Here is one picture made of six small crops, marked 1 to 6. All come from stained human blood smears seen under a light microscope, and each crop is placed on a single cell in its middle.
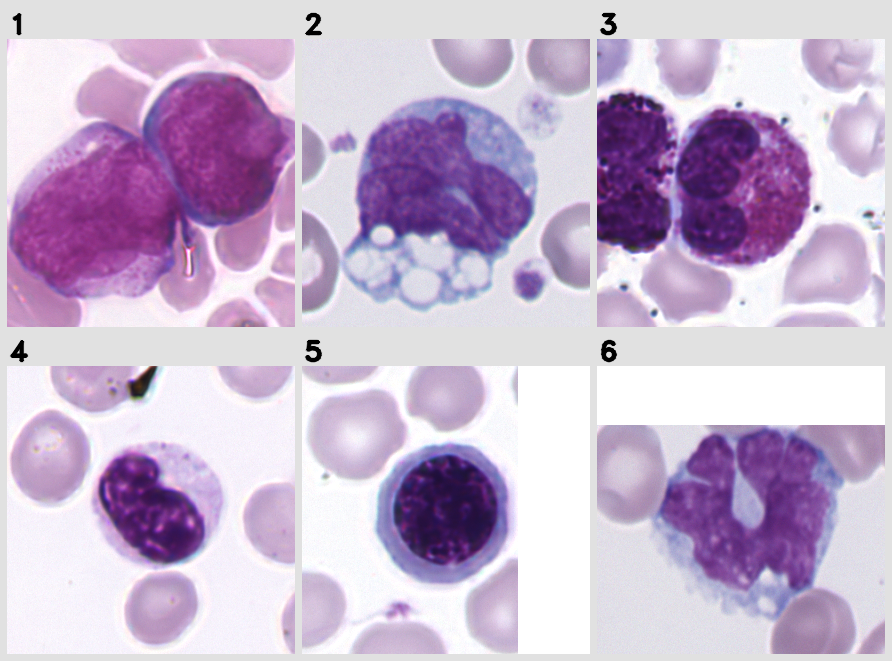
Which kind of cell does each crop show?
1: atypical promyelocyte
2: monocyte
3: eosinophil
4: band neutrophil
5: normoblast
6: monocyte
